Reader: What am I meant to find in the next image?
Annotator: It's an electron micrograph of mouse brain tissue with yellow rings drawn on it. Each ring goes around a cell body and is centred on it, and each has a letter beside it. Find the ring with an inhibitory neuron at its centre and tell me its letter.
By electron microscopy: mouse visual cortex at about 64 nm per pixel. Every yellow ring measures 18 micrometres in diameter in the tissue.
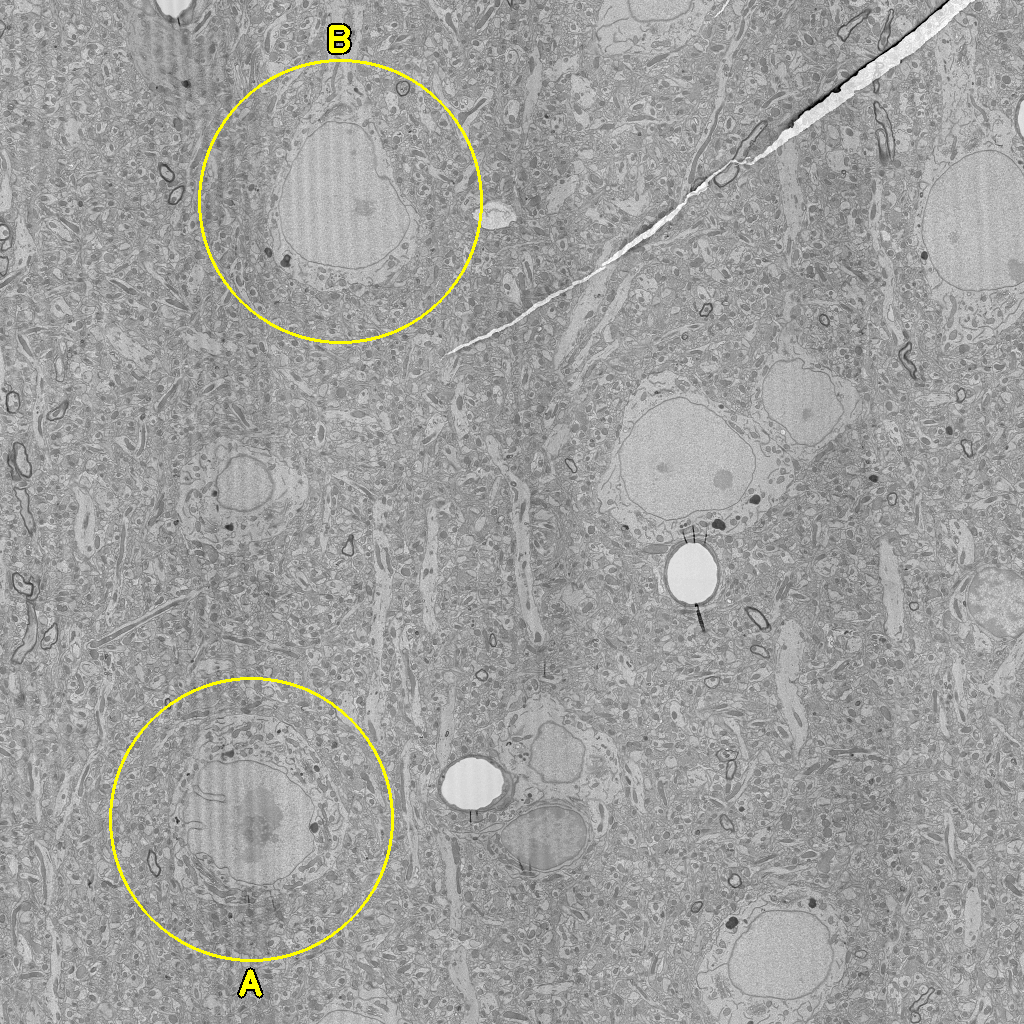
A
